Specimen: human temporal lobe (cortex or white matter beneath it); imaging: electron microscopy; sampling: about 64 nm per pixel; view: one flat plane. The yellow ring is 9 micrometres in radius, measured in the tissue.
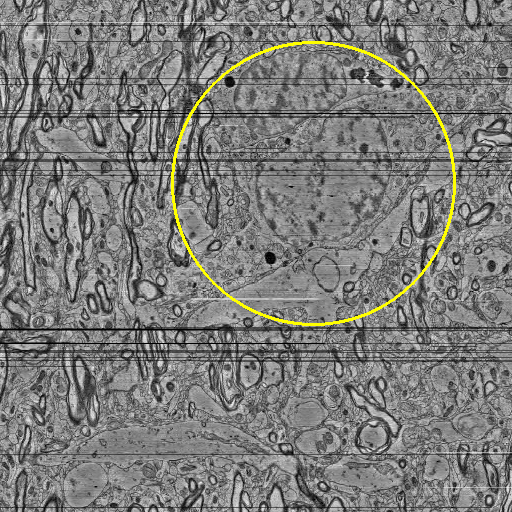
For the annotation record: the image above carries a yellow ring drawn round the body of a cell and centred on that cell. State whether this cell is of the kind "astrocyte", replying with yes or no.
No, this cell is of another kind.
